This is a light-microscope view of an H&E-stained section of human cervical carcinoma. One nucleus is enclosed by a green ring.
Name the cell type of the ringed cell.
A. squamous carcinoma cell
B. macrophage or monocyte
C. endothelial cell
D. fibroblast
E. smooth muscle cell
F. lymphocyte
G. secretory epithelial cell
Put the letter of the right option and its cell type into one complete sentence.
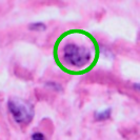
Option B properly identifies the ringed cell as a macrophage or monocyte.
